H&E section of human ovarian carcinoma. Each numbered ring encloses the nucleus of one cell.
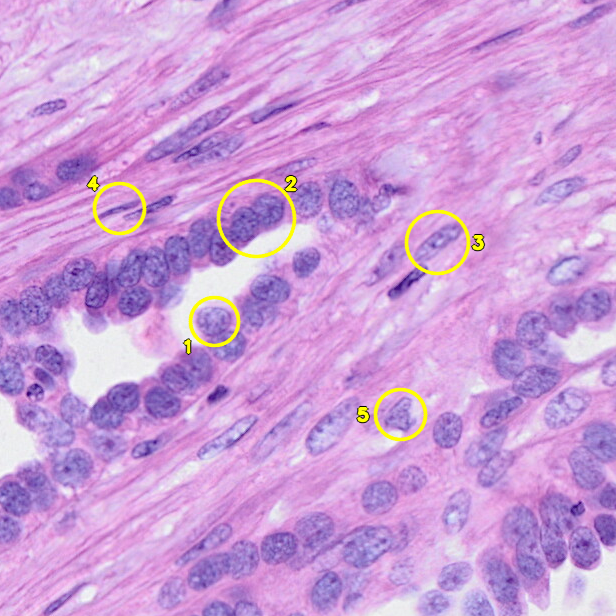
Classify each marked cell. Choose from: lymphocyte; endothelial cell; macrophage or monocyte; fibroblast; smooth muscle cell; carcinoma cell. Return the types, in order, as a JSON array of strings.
["carcinoma cell", "carcinoma cell", "fibroblast", "fibroblast", "fibroblast"]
